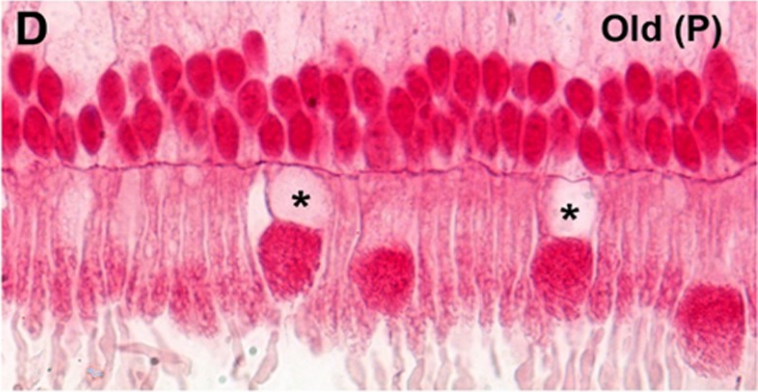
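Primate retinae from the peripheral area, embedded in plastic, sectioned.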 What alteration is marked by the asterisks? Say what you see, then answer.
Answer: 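A void. The asterisks sit in clear, almost unstained rounded spaces within photoreceptors. Each clear space lies directly above a dense, rounded red-stained mass. The clear spaces are bounded by a thin outline.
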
